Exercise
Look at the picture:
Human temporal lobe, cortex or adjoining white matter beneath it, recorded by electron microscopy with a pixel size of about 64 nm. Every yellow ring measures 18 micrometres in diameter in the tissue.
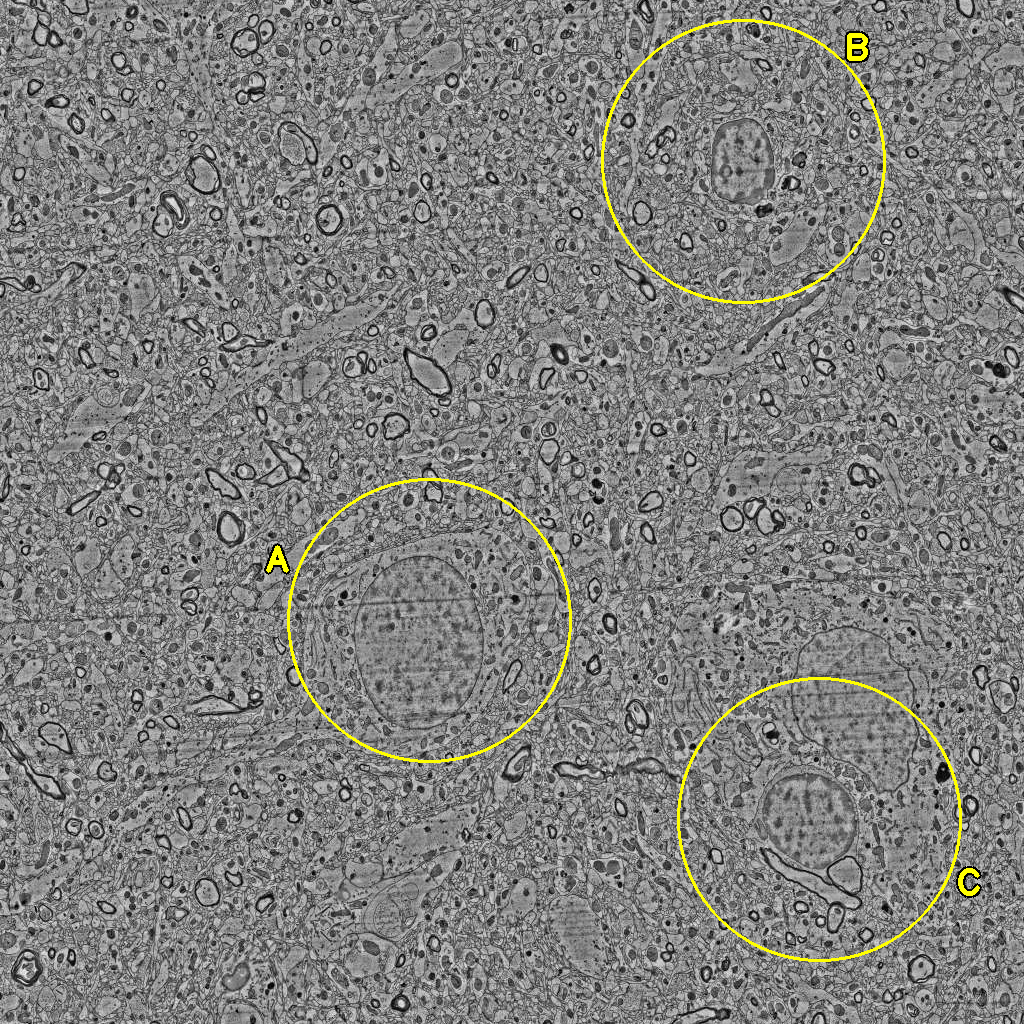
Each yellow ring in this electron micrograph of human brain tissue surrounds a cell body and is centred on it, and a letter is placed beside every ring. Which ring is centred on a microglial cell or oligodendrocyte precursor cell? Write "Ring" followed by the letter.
Ring B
